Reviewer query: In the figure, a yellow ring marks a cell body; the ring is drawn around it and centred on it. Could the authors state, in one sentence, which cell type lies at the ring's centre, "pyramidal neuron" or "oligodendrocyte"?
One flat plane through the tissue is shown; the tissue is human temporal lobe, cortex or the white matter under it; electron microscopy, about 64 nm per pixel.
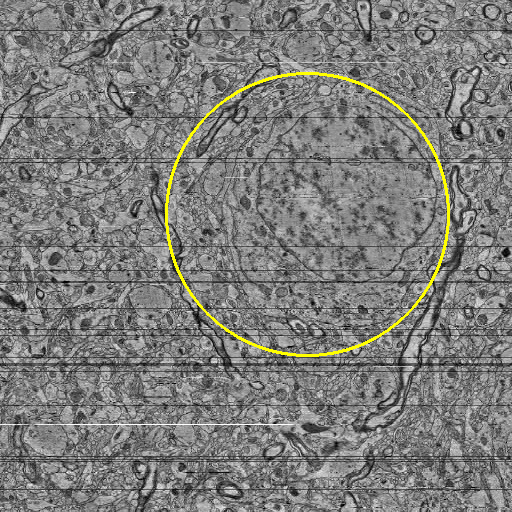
The ring is centred on a pyramidal neuron.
